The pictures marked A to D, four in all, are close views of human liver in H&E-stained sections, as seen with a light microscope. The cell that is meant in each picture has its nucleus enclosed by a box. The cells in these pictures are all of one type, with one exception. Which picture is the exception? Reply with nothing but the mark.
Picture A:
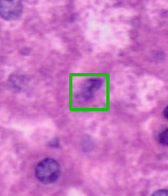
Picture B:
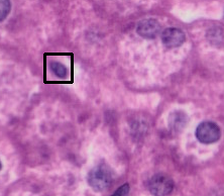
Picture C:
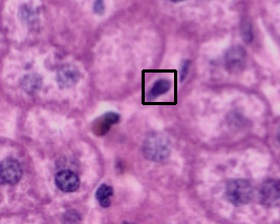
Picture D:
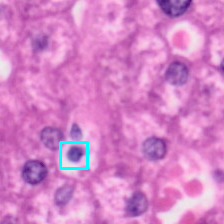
A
